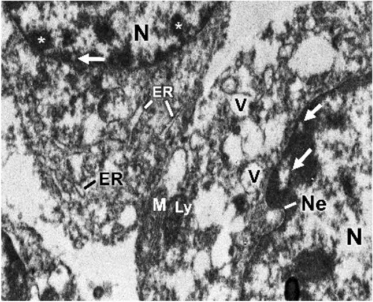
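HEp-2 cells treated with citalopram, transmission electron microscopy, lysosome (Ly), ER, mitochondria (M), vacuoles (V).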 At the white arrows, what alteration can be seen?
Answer: Ring chromatin condensation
